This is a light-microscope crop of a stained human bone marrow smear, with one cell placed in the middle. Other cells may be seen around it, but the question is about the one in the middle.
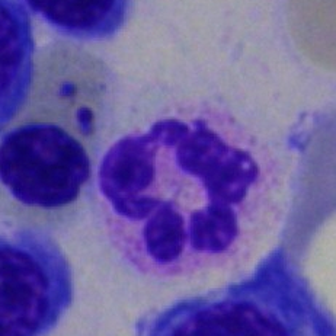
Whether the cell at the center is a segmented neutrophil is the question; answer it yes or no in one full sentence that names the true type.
Yes, the cell sitting in the center is a segmented neutrophil.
